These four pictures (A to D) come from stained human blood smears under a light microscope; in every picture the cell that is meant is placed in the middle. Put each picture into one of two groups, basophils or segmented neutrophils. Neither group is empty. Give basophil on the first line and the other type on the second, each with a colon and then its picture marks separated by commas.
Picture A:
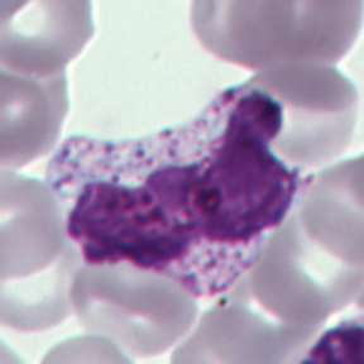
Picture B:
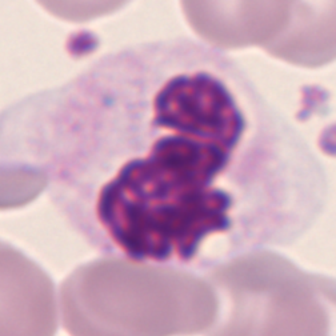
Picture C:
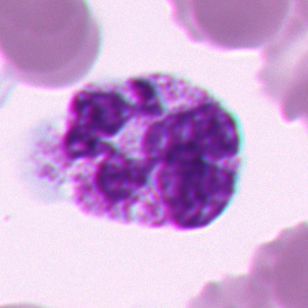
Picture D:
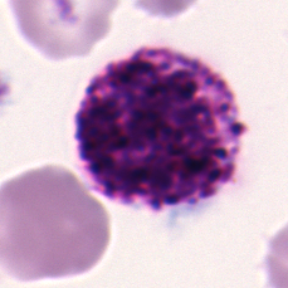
basophil: A, D
segmented neutrophil: B, C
